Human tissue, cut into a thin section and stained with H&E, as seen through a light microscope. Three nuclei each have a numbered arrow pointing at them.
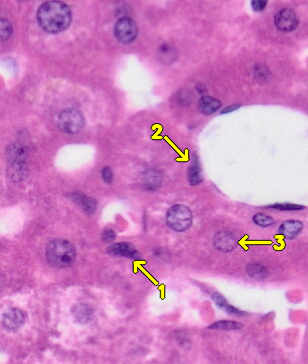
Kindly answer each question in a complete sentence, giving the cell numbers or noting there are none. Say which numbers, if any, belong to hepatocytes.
Among the numbered cells, the one that is a hepatocyte is cell 3 alone.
